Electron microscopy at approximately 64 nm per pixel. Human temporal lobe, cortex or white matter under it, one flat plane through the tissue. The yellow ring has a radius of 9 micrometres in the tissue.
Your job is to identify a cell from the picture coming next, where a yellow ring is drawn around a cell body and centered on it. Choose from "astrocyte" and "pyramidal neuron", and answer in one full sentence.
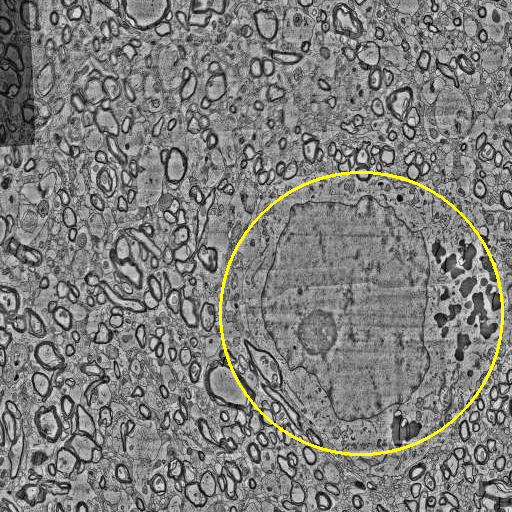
Centered in the yellow ring of the picture is the body of a pyramidal neuron.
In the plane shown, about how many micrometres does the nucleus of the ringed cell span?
In this plane the nucleus measures roughly 14 by 11 micrometres.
